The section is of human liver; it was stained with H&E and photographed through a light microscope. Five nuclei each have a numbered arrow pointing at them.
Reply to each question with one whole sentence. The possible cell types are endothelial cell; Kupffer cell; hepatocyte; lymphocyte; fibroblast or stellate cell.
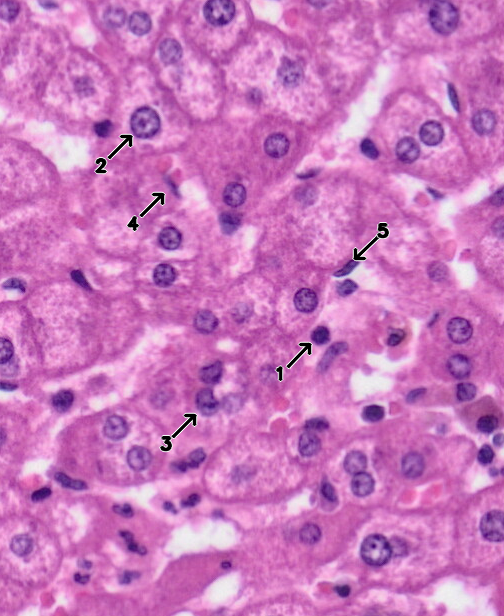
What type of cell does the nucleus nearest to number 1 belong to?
Closest to number 1 lies the nucleus of a Kupffer cell.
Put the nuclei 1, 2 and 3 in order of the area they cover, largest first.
From largest to smallest, the order is 2, 3, 1.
